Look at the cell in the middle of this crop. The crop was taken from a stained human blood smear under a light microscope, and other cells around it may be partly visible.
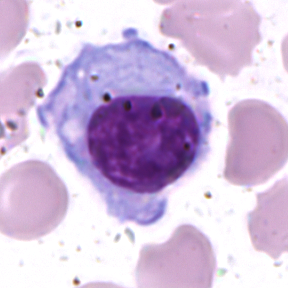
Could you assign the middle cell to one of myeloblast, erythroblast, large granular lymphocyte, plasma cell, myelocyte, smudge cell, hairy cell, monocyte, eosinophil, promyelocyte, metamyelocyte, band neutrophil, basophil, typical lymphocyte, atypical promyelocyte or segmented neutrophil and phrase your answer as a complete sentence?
The cell at the central position in this crop is a plasma cell.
